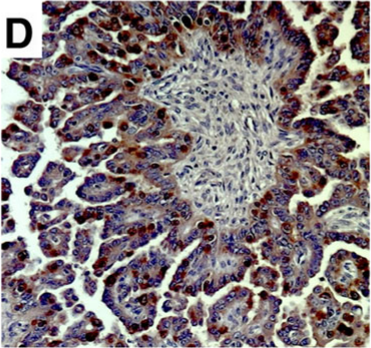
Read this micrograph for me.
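The stromal core in the middle is made of spindle-shaped cells with elongated nuclei and is stained only pale blue-grey. Around it the epithelial cells are tightly packed and piled into several layers, forming small branching papillae separated by narrow clear spaces. Their cytoplasm is strongly brown, and many nuclei also appear brown, in sharp contrast to the unstained stroma.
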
